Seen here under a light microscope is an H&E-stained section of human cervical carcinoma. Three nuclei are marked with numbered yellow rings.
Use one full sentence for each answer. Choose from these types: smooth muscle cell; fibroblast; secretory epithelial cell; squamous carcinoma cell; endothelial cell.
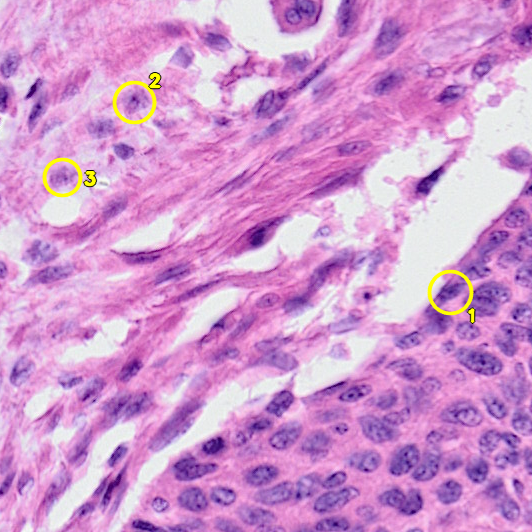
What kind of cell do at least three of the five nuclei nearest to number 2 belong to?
Fibroblasts make up most of the five nuclei closest to number 2.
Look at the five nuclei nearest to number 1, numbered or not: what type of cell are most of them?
Squamous carcinoma cells account for more than half of the five nuclei nearest to number 1.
